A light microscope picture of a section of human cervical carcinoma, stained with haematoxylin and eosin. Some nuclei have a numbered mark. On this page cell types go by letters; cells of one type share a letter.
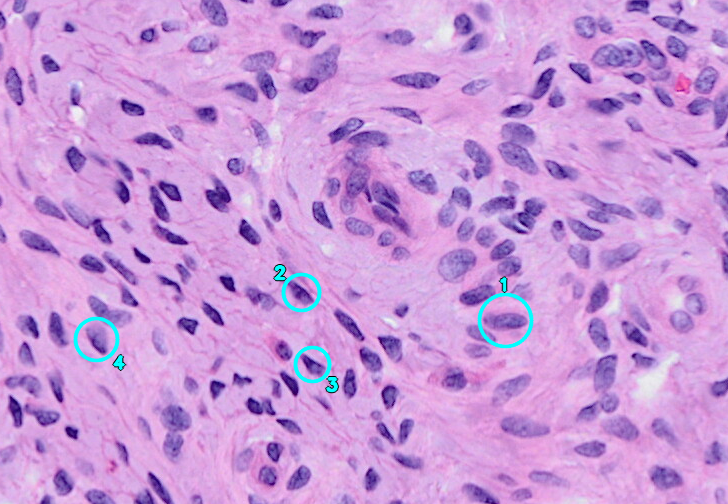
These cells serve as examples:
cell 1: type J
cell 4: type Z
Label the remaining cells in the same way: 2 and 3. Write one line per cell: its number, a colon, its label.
2: type Z
3: type Z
